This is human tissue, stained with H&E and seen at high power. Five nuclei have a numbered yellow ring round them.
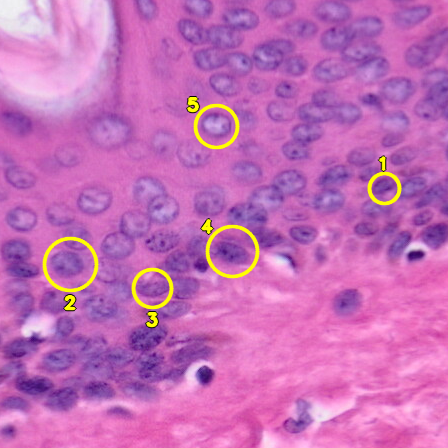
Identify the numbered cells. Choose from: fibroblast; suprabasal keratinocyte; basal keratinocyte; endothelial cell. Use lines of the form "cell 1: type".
cell 1: basal keratinocyte
cell 2: suprabasal keratinocyte
cell 3: basal keratinocyte
cell 4: basal keratinocyte
cell 5: suprabasal keratinocyte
